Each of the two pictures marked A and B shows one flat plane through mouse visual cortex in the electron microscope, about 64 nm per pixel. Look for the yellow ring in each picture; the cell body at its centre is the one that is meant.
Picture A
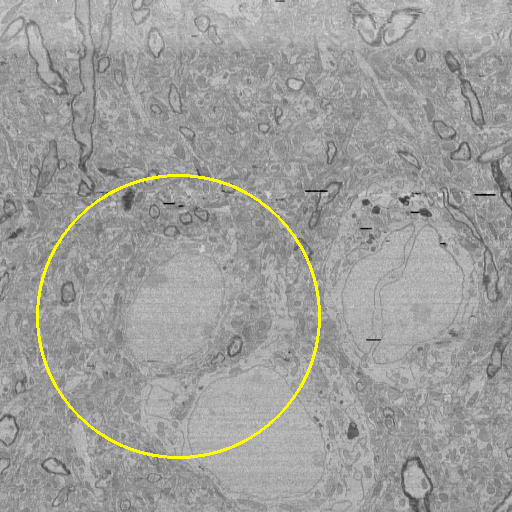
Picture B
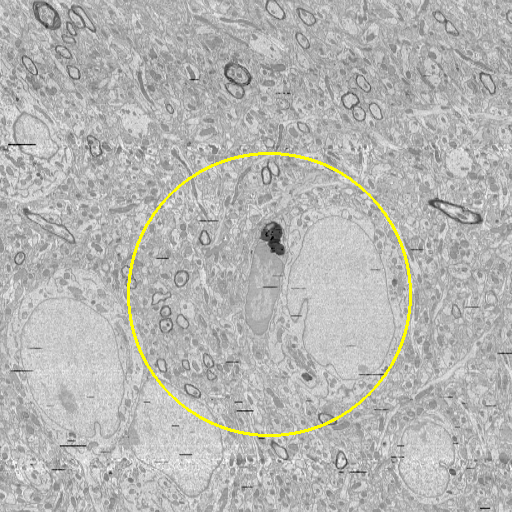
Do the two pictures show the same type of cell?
No, they differ: the cell is an astrocyte in picture A and a microglial cell in picture B.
